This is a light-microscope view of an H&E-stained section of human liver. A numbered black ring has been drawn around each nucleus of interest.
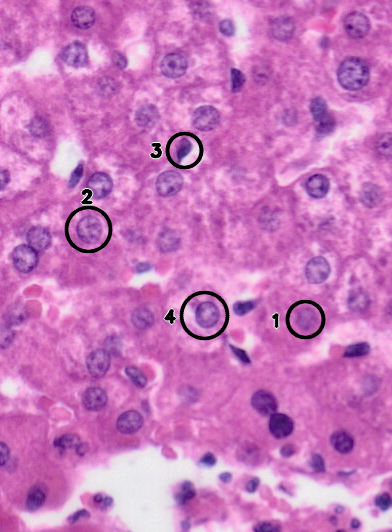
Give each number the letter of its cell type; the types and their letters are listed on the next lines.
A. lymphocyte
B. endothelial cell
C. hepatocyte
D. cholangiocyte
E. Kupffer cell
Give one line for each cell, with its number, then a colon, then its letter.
1: C
2: C
3: B
4: C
